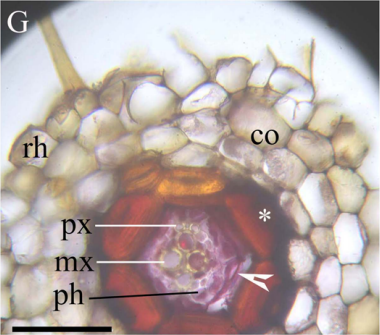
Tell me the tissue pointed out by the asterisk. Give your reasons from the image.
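Sclerenchyma layer. The asterisk lies in a ring of cells with thick red-brown walls. This ring surrounds the central vascular cylinder, inside the cortex.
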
